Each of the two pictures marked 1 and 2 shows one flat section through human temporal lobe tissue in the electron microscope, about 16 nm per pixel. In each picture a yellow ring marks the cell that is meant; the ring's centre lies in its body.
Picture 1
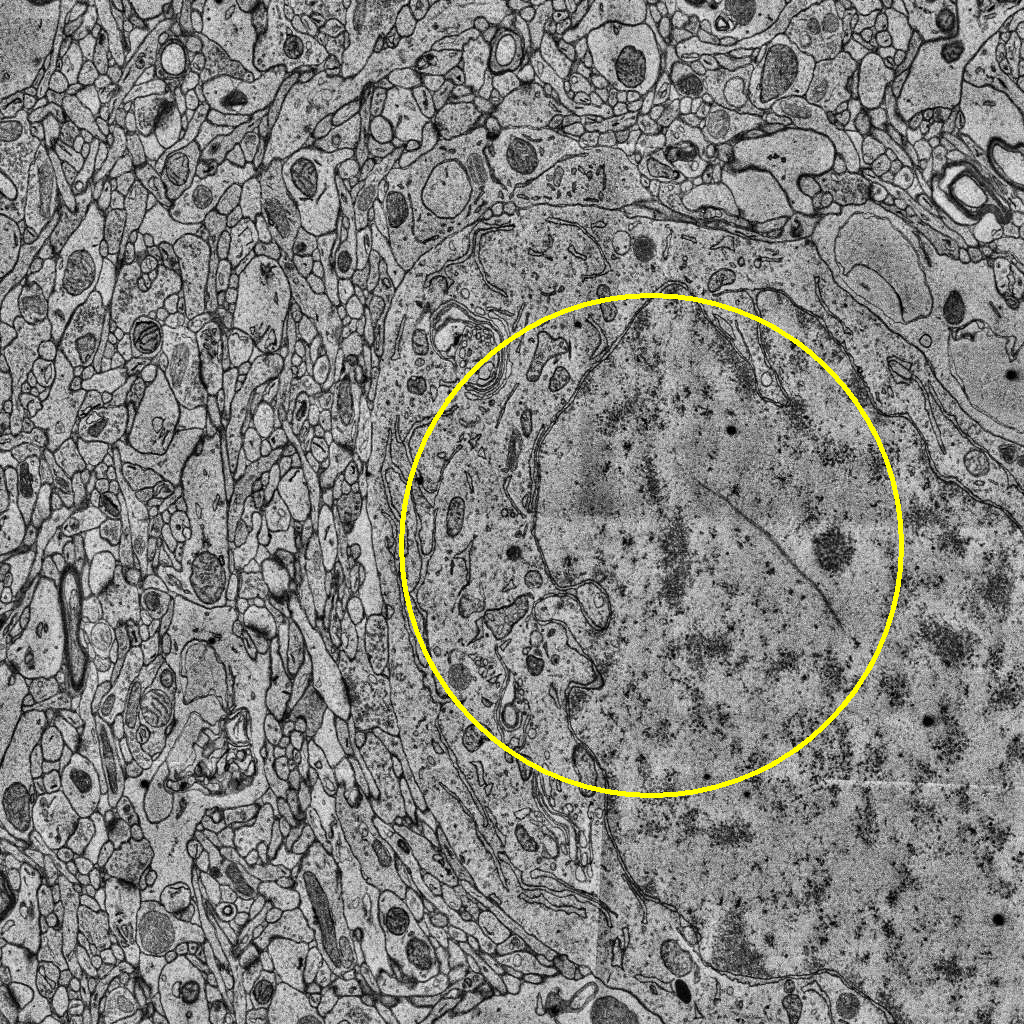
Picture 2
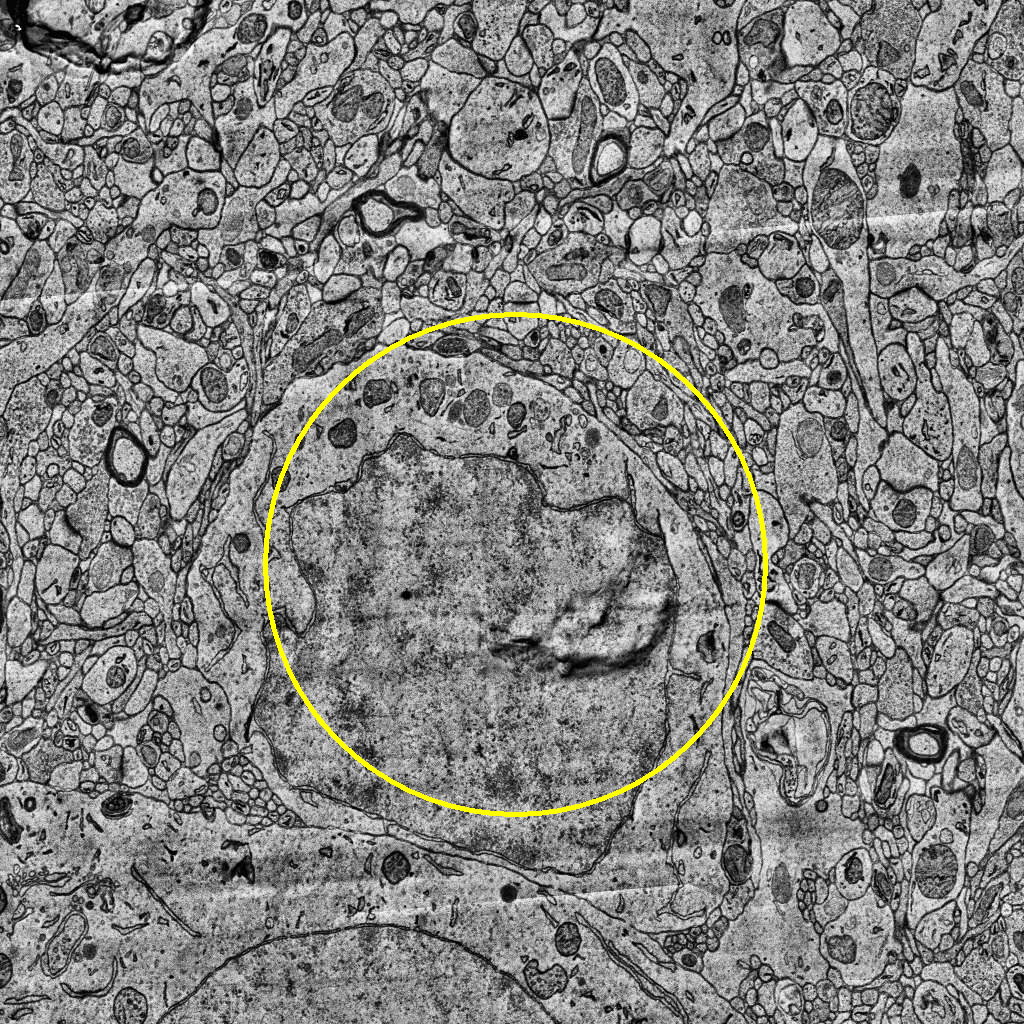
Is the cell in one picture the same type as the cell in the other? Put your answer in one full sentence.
Yes, both are interneurons.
